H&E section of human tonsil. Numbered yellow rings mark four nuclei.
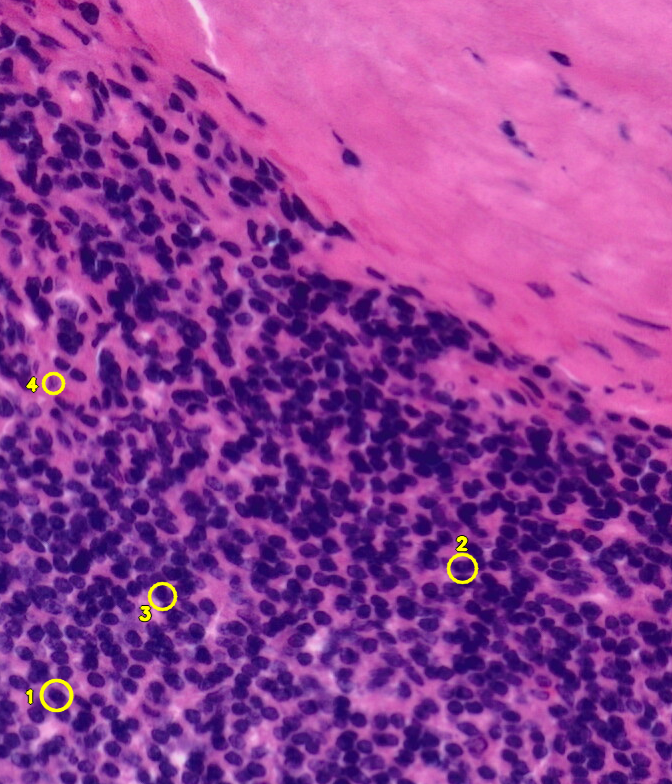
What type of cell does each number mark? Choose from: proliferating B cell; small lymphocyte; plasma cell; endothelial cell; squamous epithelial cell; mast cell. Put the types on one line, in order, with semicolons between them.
small lymphocyte; small lymphocyte; small lymphocyte; endothelial cell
